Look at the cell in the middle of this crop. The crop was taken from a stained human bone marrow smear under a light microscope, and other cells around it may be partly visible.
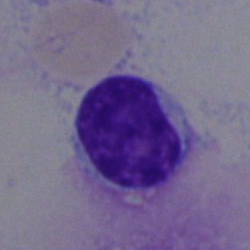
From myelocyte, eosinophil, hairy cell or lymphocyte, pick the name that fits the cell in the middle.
lymphocyte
